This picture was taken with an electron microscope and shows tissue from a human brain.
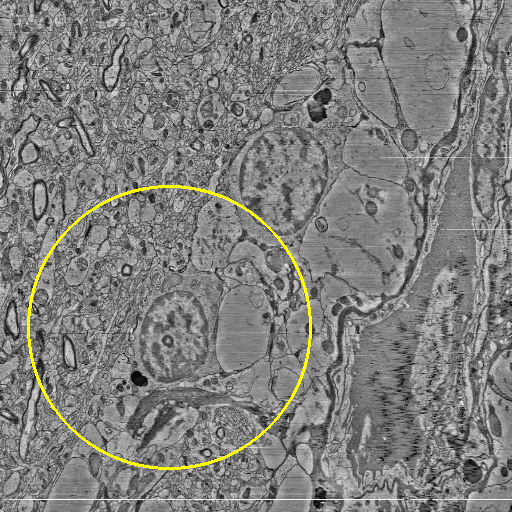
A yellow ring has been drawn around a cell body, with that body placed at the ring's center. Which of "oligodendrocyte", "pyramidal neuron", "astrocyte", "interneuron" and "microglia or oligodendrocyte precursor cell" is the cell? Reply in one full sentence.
In this picture, an oligodendrocyte is the cell at the center of the yellow ring.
